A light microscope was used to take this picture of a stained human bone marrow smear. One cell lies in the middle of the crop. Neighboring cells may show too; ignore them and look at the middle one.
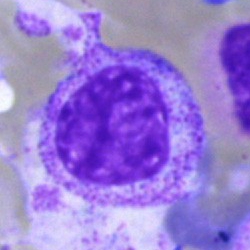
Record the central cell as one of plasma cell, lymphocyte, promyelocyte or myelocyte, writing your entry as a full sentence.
The cell centered in this field of view is a myelocyte.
